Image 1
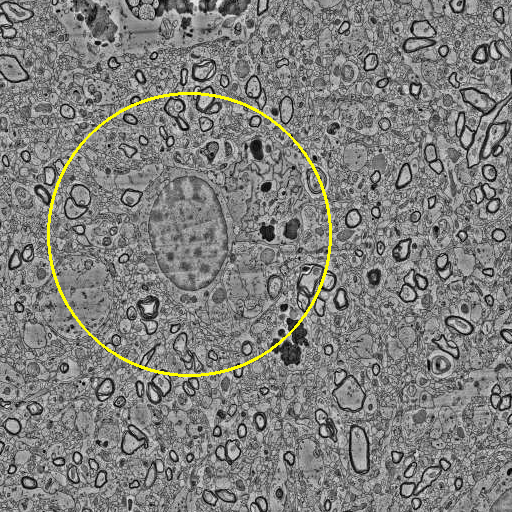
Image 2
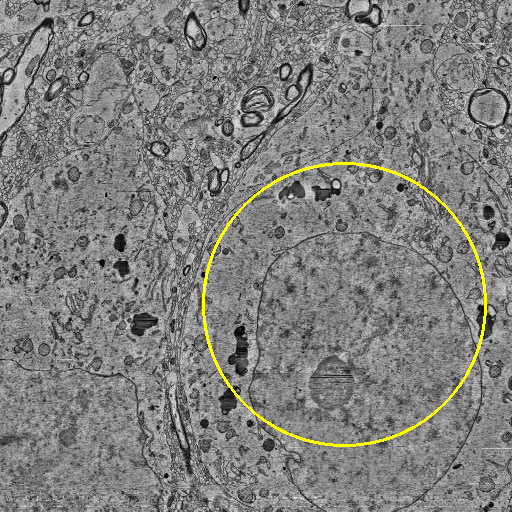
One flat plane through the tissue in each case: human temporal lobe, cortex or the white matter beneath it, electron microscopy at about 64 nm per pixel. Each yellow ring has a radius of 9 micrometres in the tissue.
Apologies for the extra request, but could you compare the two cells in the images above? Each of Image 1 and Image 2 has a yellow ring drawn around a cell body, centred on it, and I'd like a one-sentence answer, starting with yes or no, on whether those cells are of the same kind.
No, the two cells are of two kinds.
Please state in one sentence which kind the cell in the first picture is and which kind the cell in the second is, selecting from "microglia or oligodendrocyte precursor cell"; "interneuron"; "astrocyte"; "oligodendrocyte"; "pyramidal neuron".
The first ringed cell is an oligodendrocyte, the second ringed cell a pyramidal neuron.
